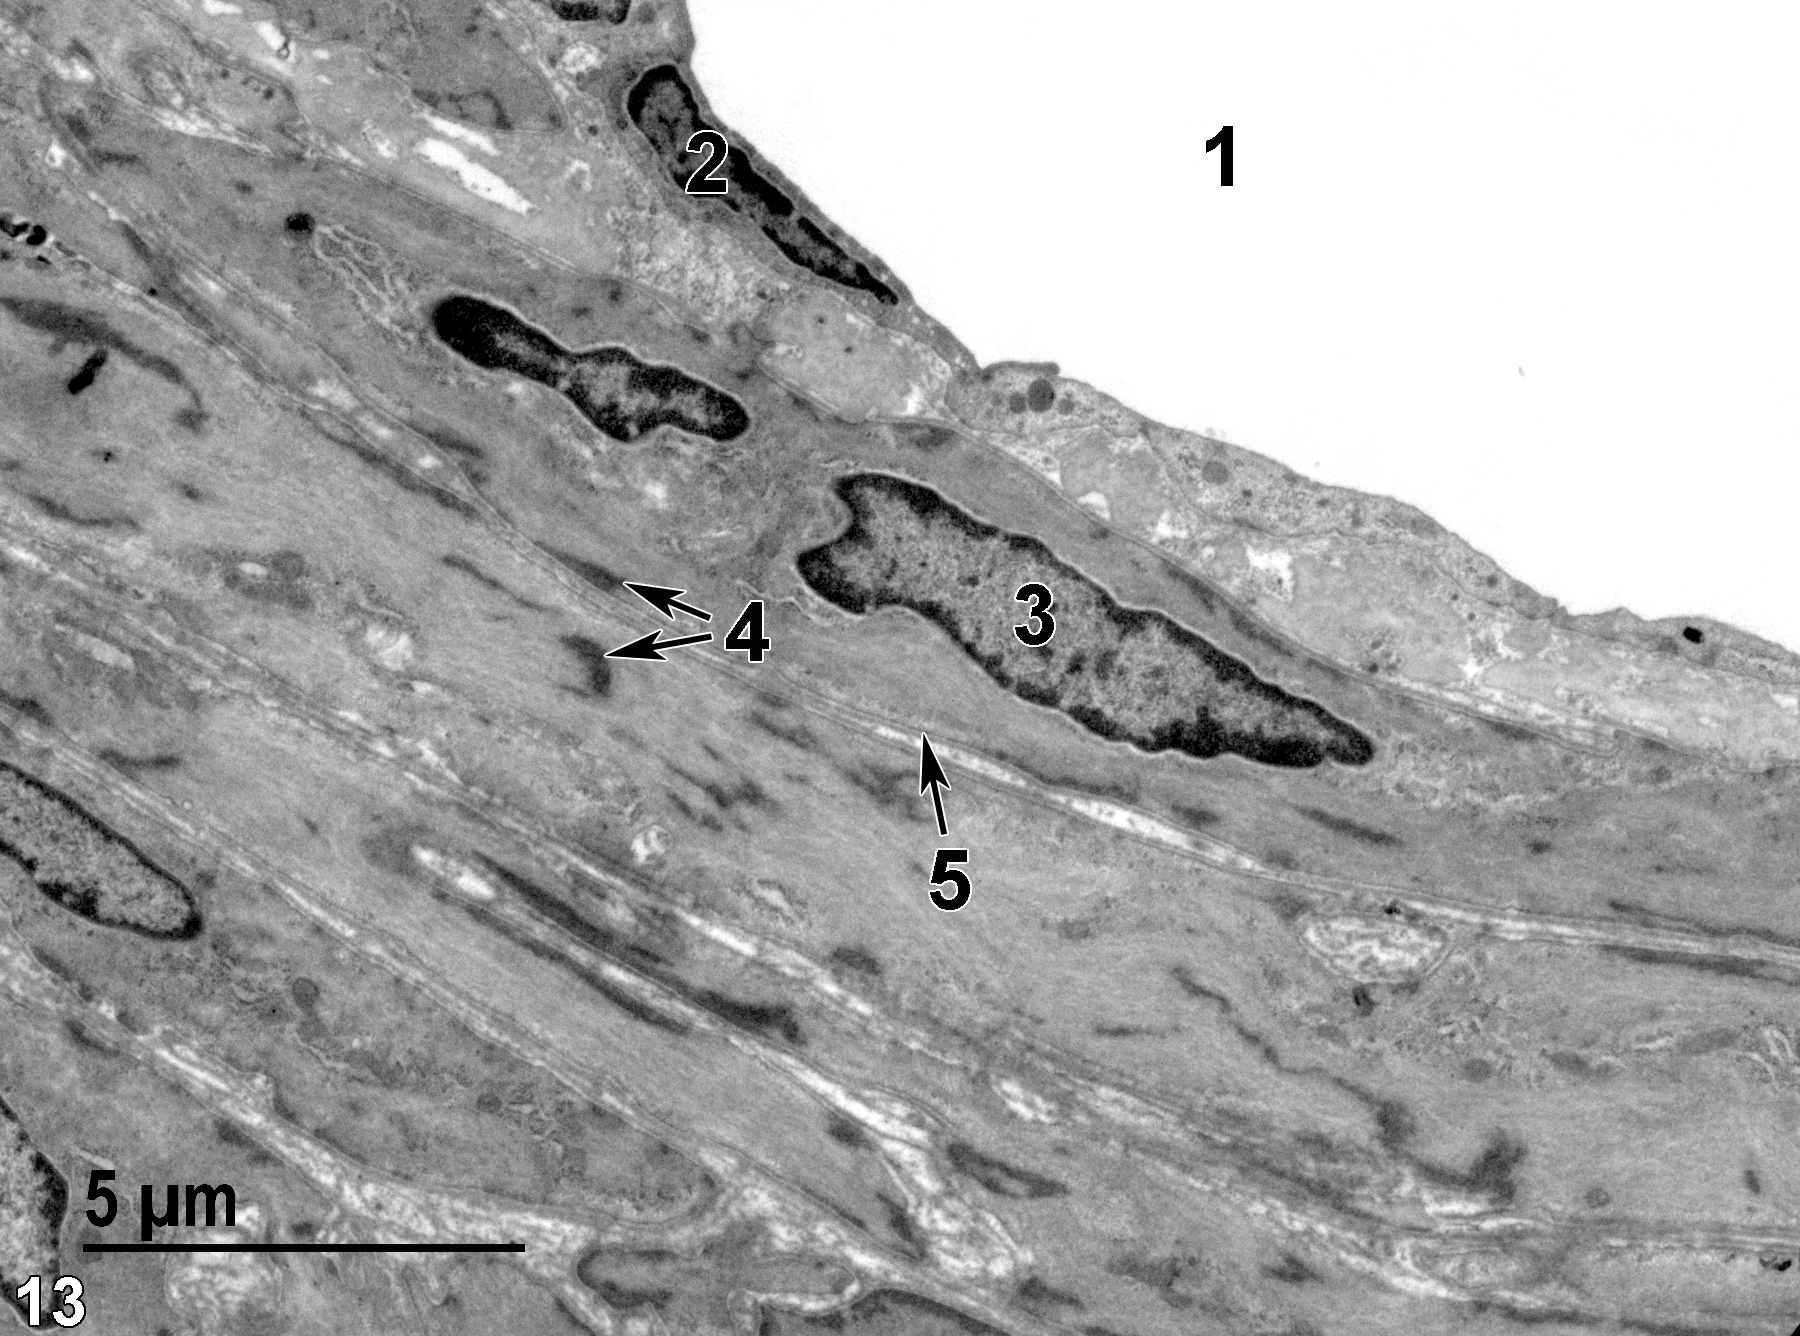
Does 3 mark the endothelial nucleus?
No, 3 marks the elongated nuclei.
